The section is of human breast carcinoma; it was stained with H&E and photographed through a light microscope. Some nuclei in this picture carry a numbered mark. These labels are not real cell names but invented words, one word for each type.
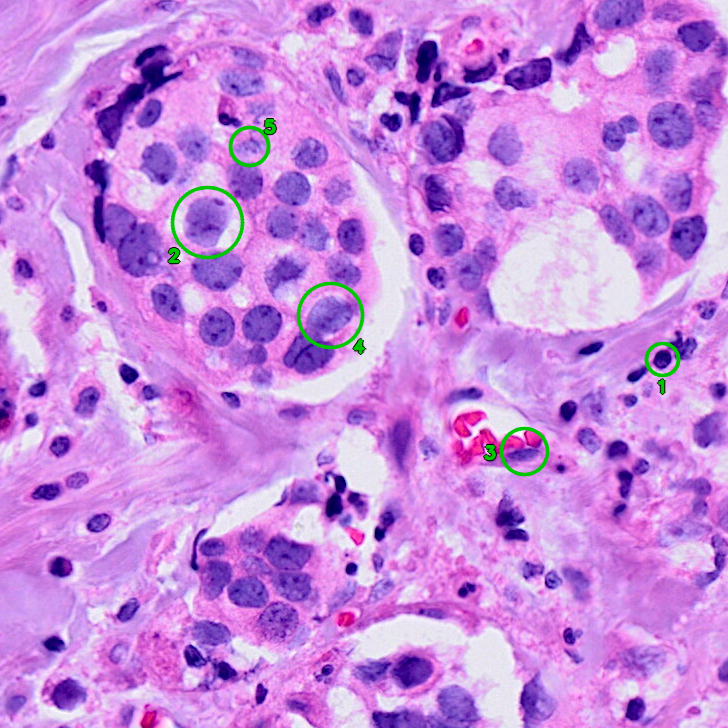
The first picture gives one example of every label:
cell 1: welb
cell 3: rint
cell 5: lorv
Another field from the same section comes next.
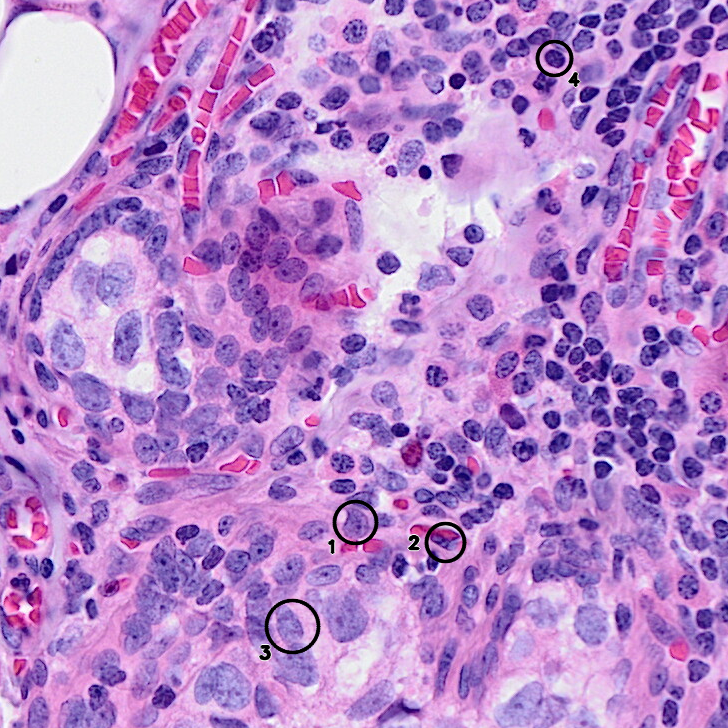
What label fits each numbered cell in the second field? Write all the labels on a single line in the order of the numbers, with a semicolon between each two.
rint; rint; lorv; welb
